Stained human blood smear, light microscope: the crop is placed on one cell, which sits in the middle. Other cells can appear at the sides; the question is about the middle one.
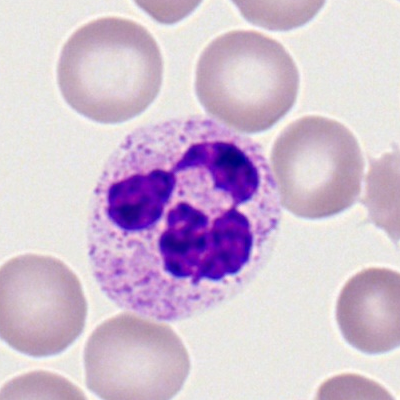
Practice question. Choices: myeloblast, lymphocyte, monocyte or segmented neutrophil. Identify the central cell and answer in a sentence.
The single cell at the center of the crop is a segmented neutrophil.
